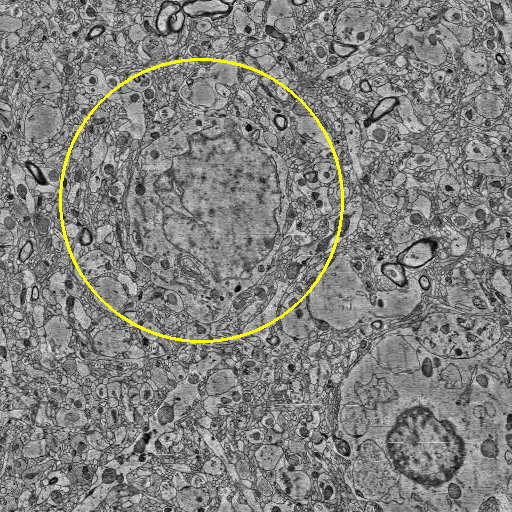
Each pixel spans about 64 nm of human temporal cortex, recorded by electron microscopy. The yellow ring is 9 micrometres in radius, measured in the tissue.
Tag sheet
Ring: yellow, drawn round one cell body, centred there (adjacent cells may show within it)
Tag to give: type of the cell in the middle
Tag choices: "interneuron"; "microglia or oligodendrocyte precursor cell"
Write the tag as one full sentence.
I tag the cell centred in the yellow ring as an interneuron in this picture.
